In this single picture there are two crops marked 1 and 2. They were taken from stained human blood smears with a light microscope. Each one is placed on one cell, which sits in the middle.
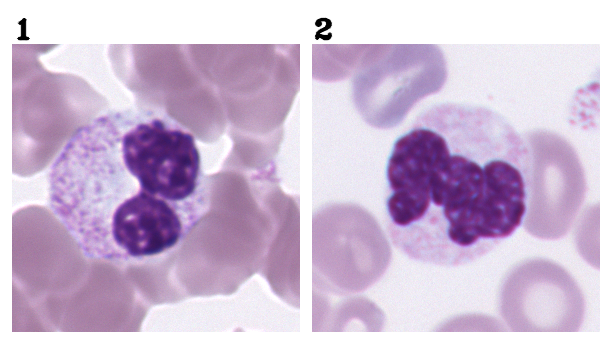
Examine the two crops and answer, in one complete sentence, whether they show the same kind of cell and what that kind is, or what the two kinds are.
Yes, the middle cells in both crops are indeed neutrophils.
